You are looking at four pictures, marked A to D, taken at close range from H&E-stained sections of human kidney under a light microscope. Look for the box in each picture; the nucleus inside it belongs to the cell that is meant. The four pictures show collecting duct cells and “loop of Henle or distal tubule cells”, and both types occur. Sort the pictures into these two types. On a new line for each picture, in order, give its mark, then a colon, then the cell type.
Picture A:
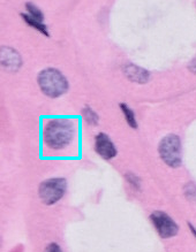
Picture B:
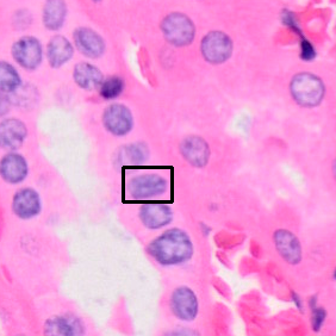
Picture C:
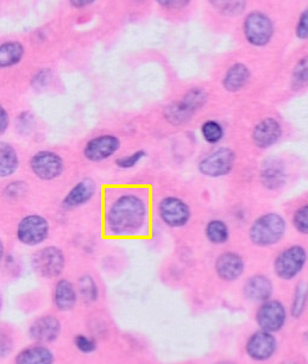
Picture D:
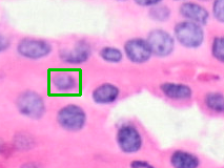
A: loop of Henle or distal tubule cell
B: collecting duct cell
C: loop of Henle or distal tubule cell
D: loop of Henle or distal tubule cell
